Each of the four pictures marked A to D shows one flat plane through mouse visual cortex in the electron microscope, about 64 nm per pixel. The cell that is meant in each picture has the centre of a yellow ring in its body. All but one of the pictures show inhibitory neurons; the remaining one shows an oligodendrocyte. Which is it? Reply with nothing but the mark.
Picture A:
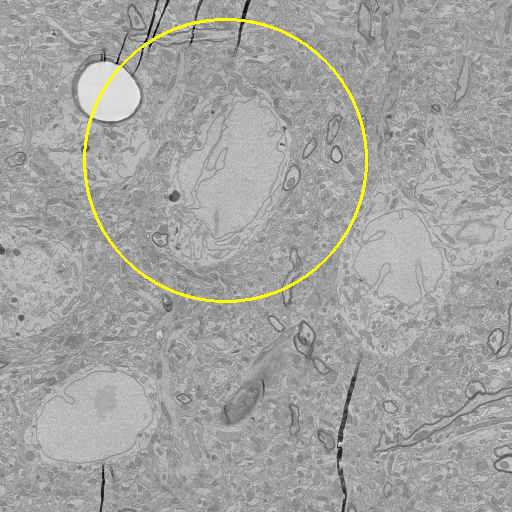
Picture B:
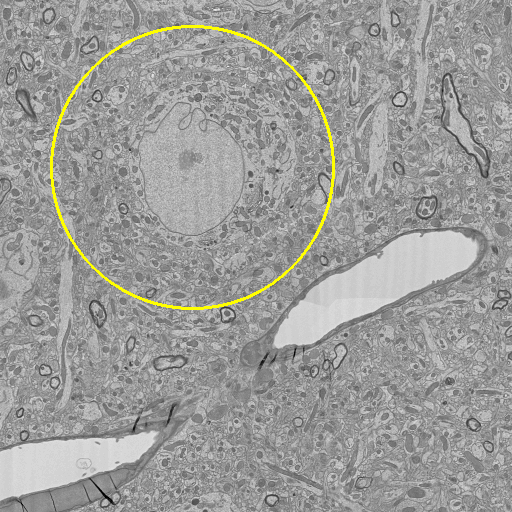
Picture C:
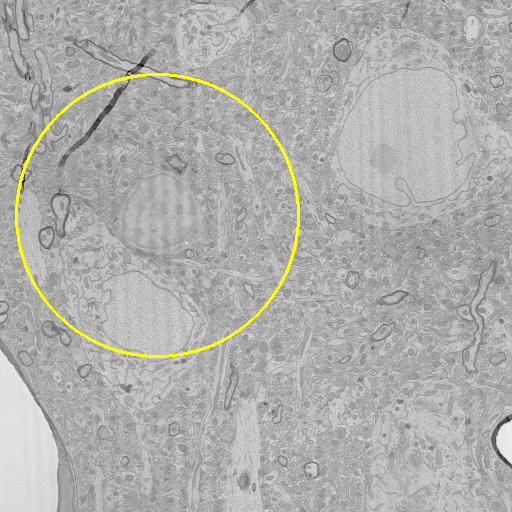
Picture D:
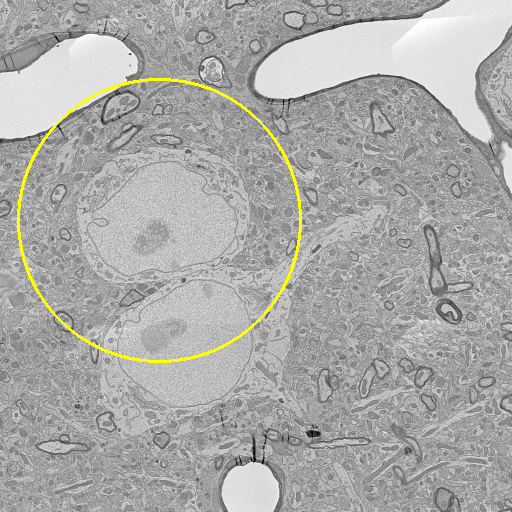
C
